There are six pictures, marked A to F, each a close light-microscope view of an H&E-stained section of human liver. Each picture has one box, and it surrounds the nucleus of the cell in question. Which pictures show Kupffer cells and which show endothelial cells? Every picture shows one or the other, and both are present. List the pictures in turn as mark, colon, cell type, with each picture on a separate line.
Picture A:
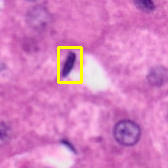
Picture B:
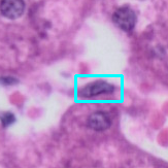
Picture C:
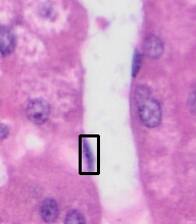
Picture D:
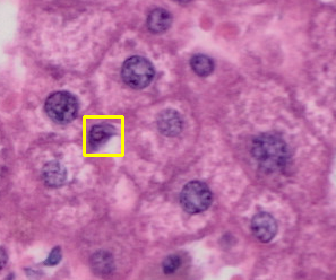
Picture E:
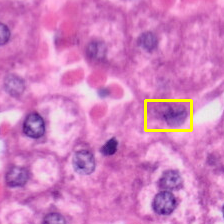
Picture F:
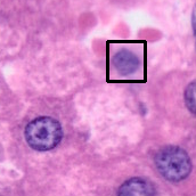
A: endothelial cell
B: Kupffer cell
C: endothelial cell
D: endothelial cell
E: Kupffer cell
F: Kupffer cell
